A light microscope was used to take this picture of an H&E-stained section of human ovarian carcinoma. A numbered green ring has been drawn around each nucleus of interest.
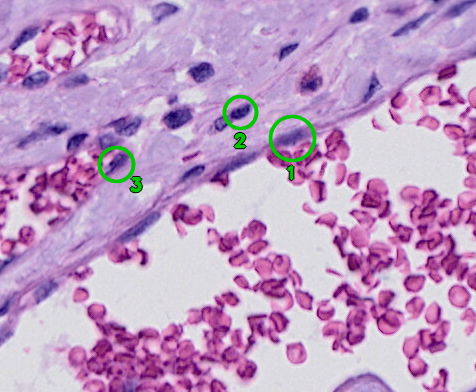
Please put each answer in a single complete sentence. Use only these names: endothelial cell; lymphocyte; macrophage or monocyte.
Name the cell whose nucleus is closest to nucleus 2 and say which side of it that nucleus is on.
The nearest one is a macrophage or monocyte, found below and to the left of nucleus 2.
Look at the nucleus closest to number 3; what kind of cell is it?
Closest to number 3 lies the nucleus of an endothelial cell.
